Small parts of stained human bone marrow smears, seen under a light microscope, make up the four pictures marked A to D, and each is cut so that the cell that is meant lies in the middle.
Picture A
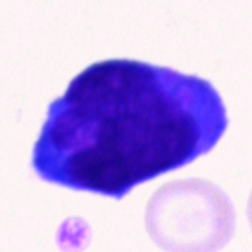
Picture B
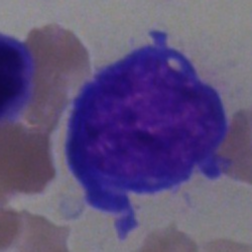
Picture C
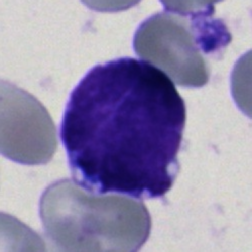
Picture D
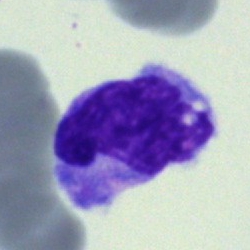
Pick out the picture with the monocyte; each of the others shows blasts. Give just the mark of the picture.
D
